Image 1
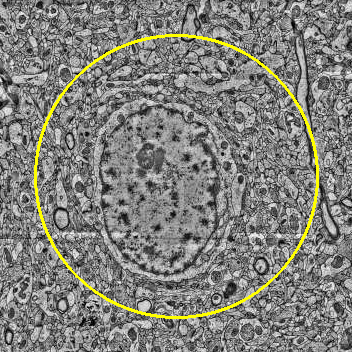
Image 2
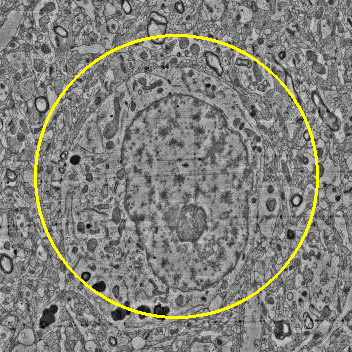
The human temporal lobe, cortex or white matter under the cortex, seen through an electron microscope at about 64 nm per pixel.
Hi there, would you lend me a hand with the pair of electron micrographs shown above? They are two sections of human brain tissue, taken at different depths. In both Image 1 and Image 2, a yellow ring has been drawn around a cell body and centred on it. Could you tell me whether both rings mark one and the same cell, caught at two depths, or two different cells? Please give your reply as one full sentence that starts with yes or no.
No, the two rings refer to two distinct cells.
